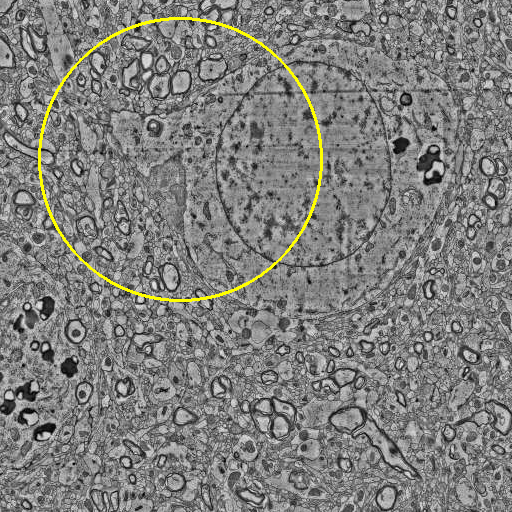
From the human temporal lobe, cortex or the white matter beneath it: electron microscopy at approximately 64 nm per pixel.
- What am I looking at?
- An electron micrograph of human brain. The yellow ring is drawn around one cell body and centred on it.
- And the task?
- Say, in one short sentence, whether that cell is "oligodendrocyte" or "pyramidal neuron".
The cell in the middle of the ring is an oligodendrocyte.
